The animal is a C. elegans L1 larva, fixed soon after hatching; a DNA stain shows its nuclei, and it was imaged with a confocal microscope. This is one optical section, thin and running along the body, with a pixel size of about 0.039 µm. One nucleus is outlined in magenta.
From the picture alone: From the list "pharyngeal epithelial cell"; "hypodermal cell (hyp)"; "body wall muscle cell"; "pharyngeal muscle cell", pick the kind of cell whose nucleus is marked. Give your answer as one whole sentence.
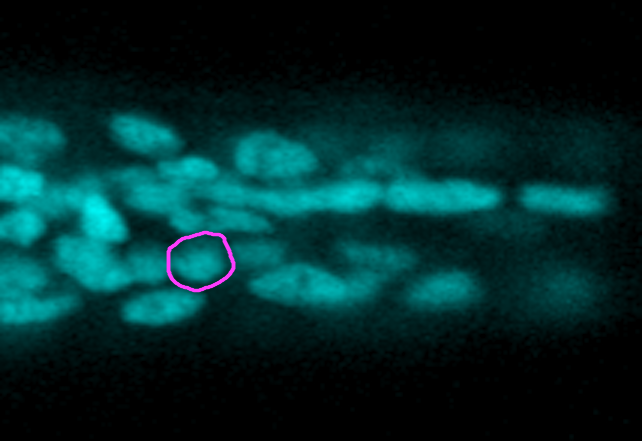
The nucleus comes from a hypodermal cell (hyp).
